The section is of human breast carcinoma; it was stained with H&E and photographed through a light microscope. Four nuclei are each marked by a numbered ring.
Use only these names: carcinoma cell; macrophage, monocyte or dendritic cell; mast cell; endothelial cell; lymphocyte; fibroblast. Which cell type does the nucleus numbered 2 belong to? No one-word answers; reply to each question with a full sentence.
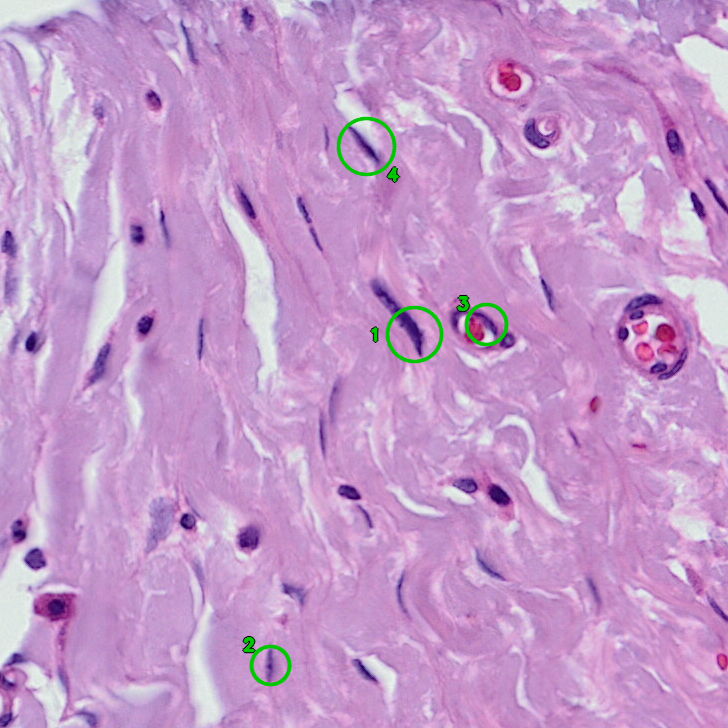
In the marked set, the cell given number 2 is a fibroblast.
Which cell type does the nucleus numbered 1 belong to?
The cell that goes by number 1 is a fibroblast.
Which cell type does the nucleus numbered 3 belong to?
The cell referenced by the number 3 is an endothelial cell in this field.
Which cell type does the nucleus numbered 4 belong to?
The nucleus labeled 4 belongs to a fibroblast.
